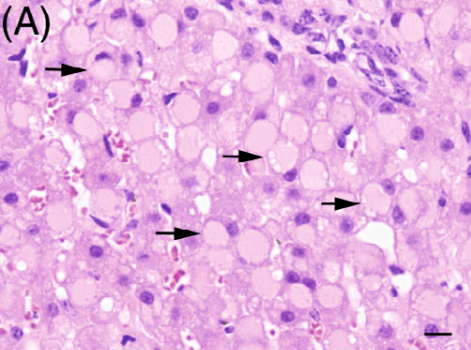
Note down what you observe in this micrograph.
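Liver tissue with hepatocytes arranged in cords separated by narrow sinusoids containing red blood cells. Many hepatocytes are enlarged and contain a single round, sharply bordered, pale pink, glassy cytoplasmic inclusion that pushes the round nucleus to one side of the cell. A cluster of small, dark, elongated nuclei lies at the upper right.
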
